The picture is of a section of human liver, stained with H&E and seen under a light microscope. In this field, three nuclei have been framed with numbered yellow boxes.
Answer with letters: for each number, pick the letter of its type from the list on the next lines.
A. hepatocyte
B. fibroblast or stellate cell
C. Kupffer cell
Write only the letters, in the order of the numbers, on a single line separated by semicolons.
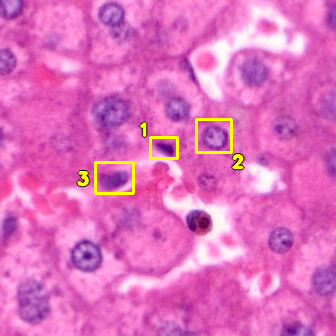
B; A; C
